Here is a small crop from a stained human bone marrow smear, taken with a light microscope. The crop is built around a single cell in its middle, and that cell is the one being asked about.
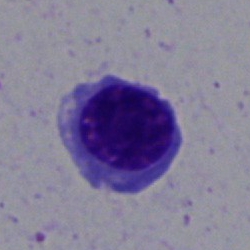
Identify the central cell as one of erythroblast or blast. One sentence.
By classification, the middle cell of this crop is an erythroblast.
